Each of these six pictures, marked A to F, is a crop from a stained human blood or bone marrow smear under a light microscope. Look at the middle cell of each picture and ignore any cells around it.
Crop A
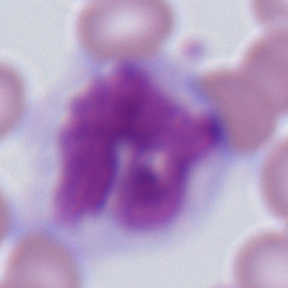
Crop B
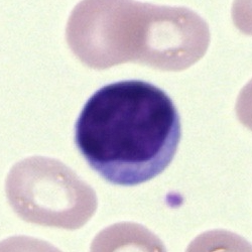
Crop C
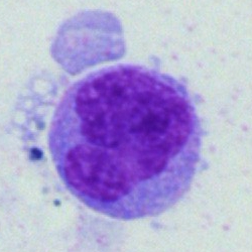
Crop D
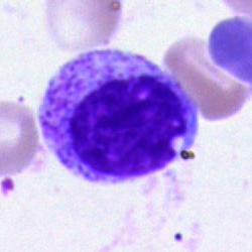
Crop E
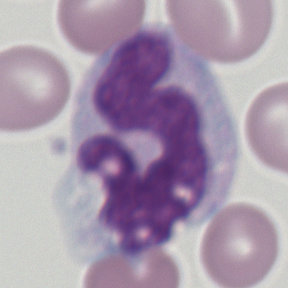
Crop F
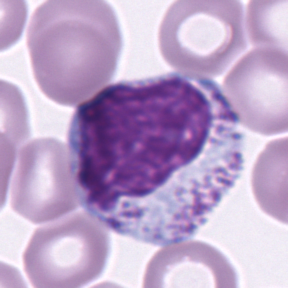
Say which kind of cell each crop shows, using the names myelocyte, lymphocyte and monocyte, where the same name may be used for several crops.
A: monocyte
B: lymphocyte
C: monocyte
D: myelocyte
E: monocyte
F: myelocyte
